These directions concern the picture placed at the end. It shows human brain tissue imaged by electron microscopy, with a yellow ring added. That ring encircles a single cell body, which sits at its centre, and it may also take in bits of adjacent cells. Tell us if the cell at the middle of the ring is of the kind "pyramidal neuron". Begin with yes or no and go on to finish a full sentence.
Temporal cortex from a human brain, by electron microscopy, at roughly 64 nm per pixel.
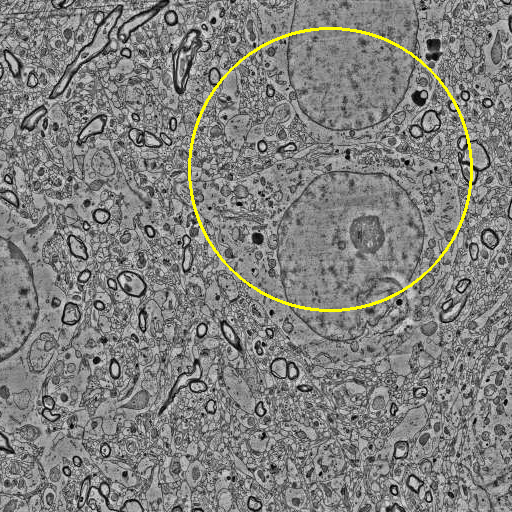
Yes, the cell sitting at the centre of the yellow ring in the picture is of that kind.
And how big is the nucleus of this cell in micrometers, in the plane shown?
About 11 by 9 micrometers, in this plane.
